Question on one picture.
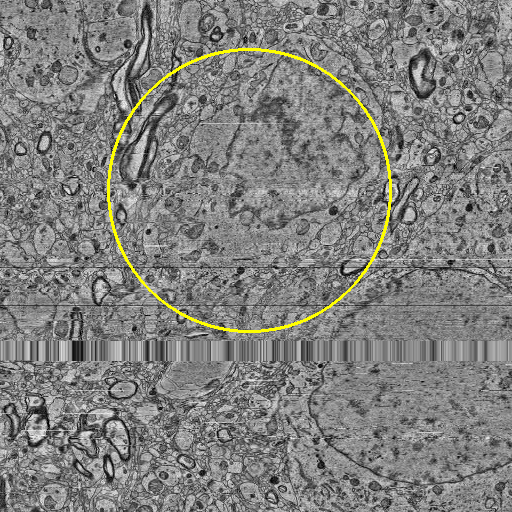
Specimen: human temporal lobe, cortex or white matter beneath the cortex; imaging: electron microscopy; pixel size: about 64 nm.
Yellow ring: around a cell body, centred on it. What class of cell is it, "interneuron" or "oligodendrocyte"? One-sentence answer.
This is an interneuron, the cell the ring is centred on.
